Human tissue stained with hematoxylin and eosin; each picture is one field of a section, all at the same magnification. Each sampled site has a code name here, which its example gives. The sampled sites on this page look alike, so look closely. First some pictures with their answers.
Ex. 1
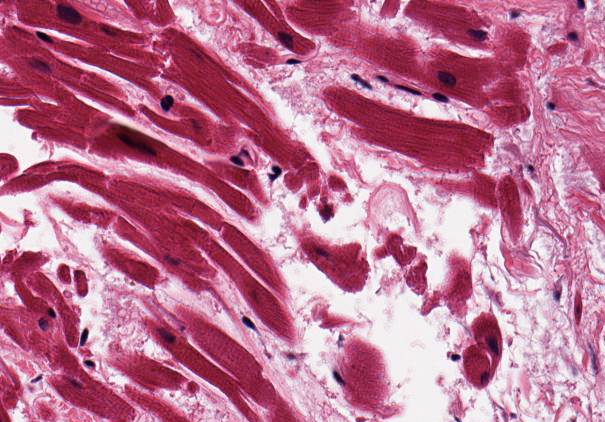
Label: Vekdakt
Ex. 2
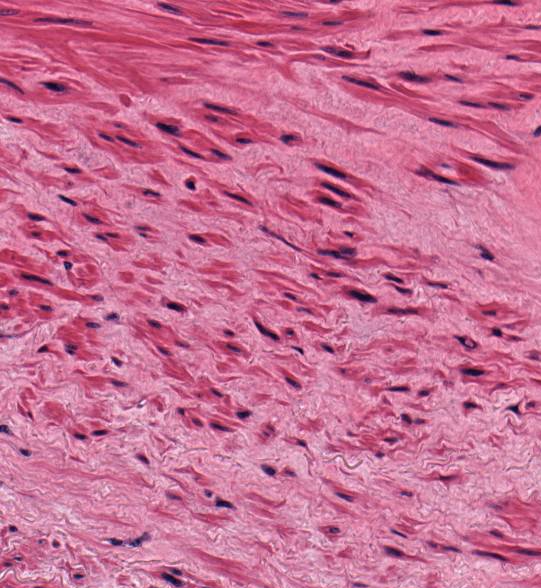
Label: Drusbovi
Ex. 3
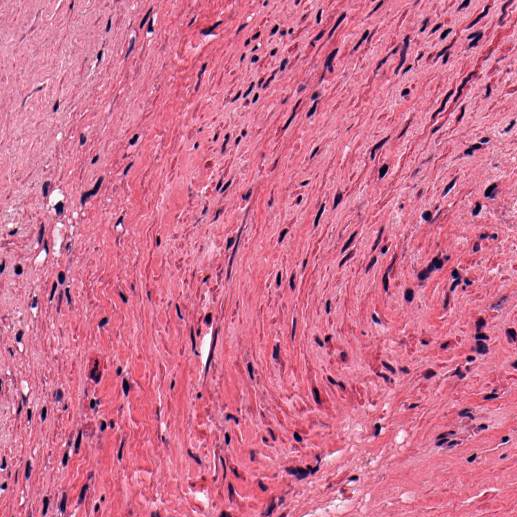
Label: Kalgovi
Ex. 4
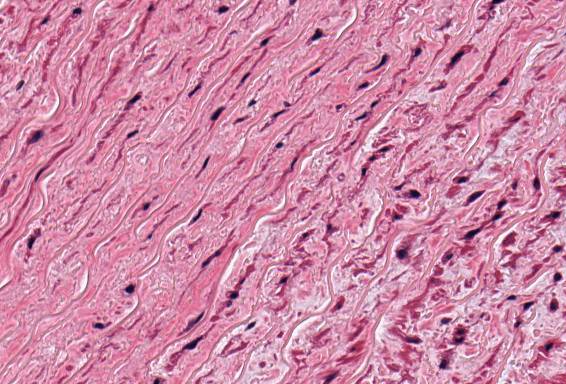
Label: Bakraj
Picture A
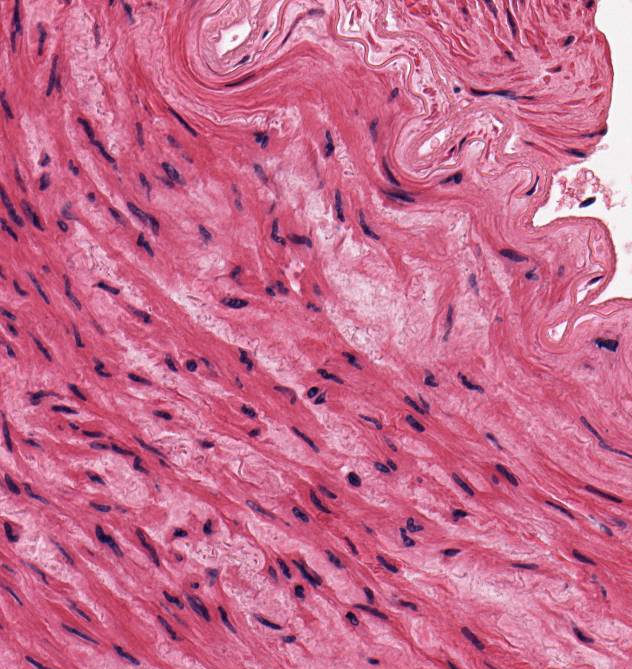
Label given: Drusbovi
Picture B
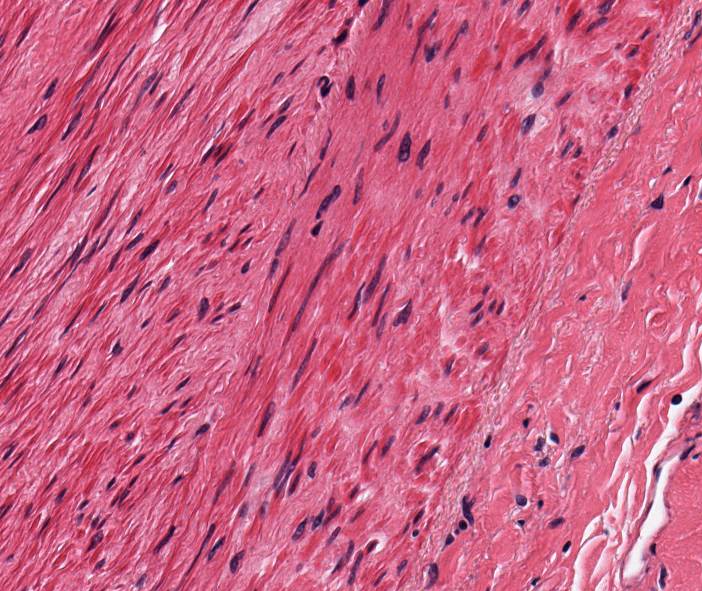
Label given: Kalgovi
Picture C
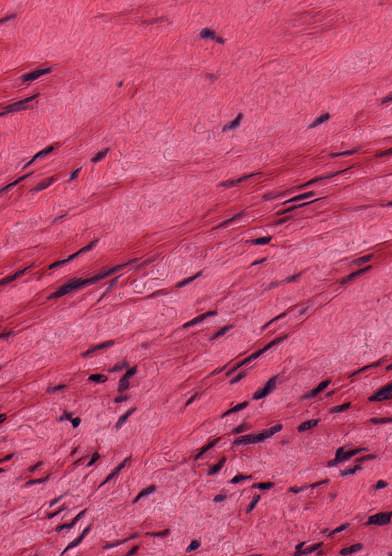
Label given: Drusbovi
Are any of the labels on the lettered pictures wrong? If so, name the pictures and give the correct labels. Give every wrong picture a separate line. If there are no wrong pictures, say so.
Nothing to fix; every label fits.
